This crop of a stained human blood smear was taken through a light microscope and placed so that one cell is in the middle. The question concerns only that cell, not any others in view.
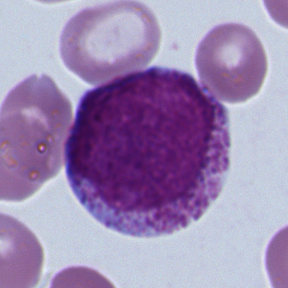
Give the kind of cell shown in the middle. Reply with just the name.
myelocyte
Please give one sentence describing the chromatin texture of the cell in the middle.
Check the chromatin: it is fine and not coarsely clumped.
